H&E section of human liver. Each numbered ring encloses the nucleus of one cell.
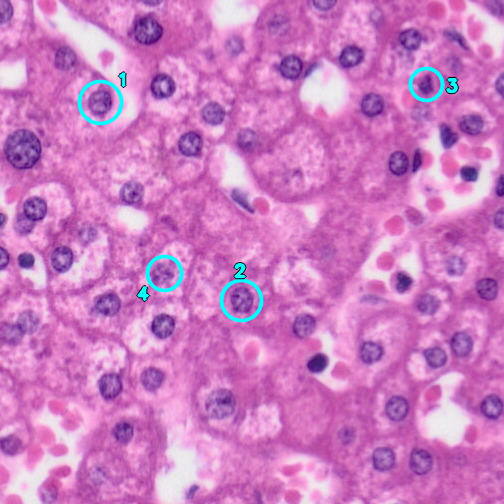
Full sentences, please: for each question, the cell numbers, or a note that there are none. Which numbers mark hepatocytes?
The cells identified by the numbers 1, 2 and 4 are hepatocytes.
